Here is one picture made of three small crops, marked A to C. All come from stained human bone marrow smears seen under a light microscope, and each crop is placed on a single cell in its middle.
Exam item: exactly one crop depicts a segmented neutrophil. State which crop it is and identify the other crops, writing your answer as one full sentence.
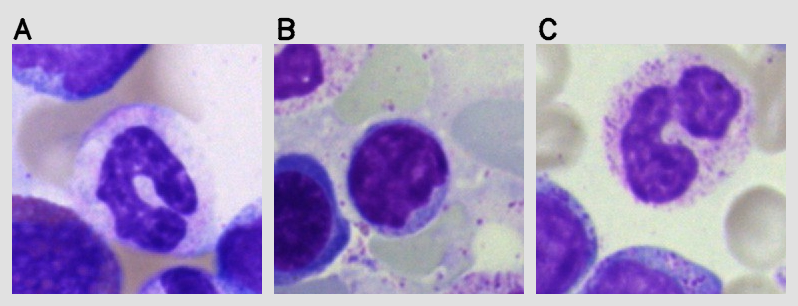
The centred cell in crop C is a segmented neutrophil; meanwhile, crop A is a band neutrophil and crop B is a lymphocyte.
